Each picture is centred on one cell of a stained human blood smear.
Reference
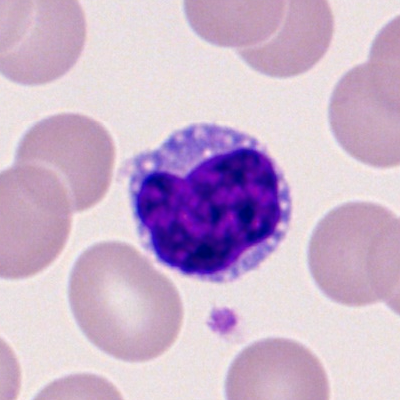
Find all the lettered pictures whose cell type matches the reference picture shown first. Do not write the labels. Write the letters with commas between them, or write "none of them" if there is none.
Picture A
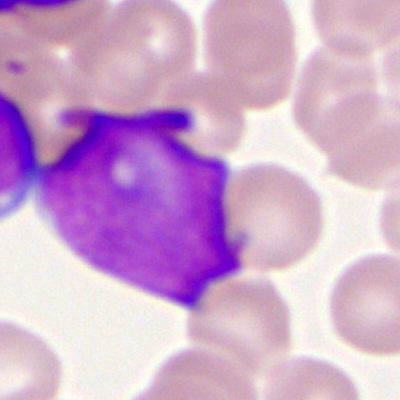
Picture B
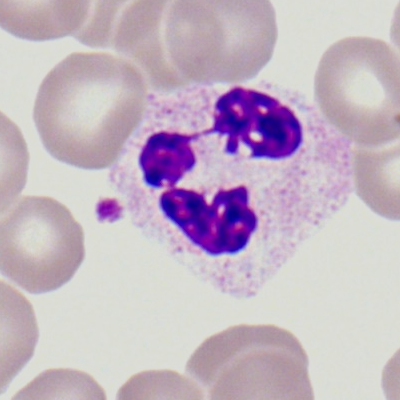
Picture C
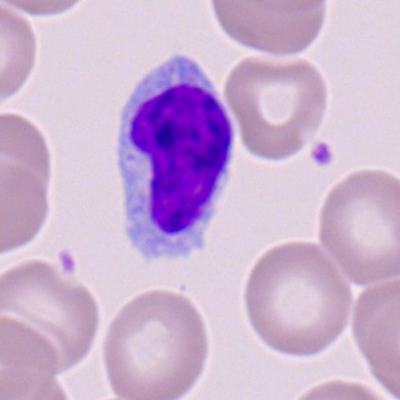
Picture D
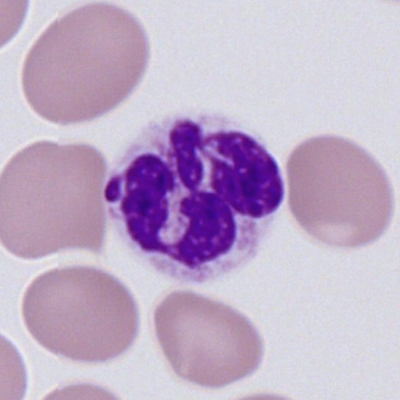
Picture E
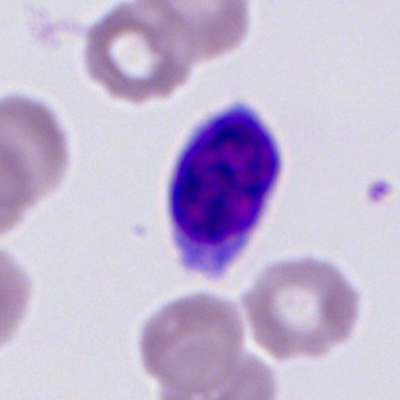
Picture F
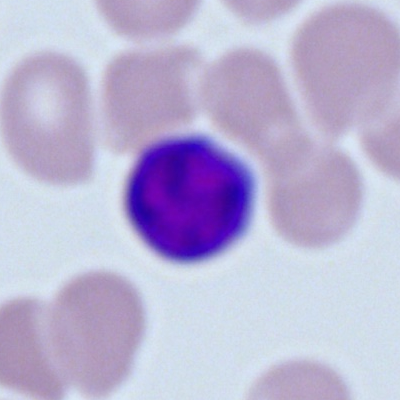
C, E, F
